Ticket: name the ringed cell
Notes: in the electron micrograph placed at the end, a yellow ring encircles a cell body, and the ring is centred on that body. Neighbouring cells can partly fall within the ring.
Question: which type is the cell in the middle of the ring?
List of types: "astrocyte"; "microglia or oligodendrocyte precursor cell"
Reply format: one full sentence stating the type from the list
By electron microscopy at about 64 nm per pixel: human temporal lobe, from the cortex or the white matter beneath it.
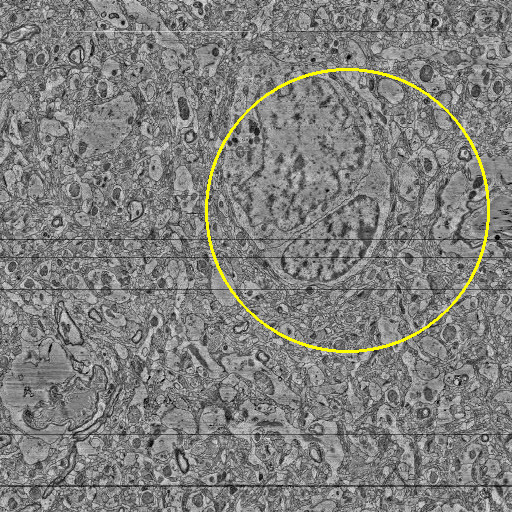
The cell sitting at the centre of the yellow ring is a microglial cell or oligodendrocyte precursor cell.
